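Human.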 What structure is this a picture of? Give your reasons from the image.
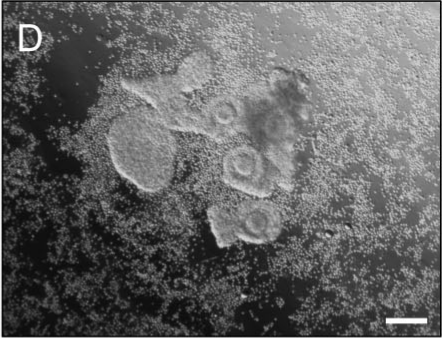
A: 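Several large round cells, each with a clear ring around it, lie in the centre. Each large round cell is embedded in an irregular, flattened mass of many smaller cells. The masses of surrounding cells differ in size and in how fully they enclose the round cell.
Answer: cumulus–oocyte complexes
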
